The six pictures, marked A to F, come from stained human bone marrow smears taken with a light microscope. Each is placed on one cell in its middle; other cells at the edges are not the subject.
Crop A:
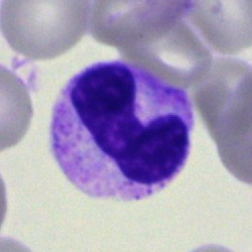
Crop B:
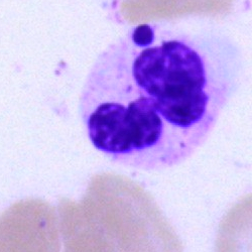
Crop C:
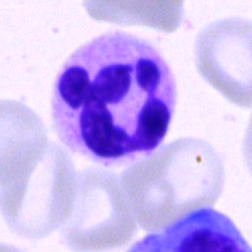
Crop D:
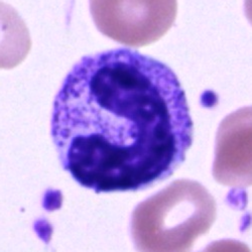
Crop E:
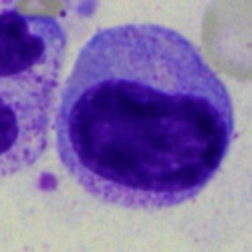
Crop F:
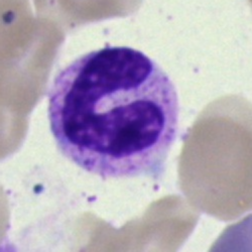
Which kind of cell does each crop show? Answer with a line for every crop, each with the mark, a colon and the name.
A: band neutrophil
B: segmented neutrophil
C: segmented neutrophil
D: band neutrophil
E: metamyelocyte
F: band neutrophil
